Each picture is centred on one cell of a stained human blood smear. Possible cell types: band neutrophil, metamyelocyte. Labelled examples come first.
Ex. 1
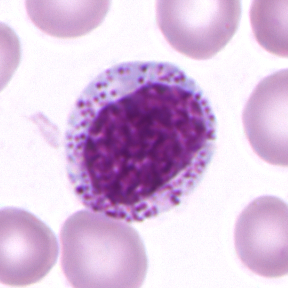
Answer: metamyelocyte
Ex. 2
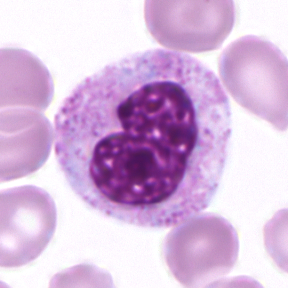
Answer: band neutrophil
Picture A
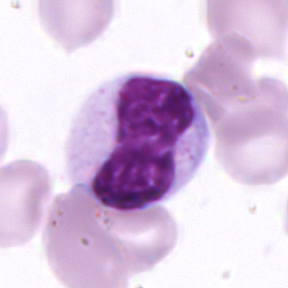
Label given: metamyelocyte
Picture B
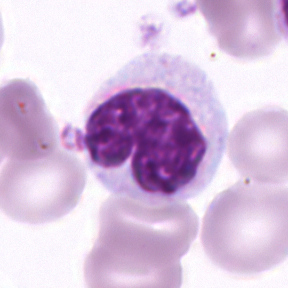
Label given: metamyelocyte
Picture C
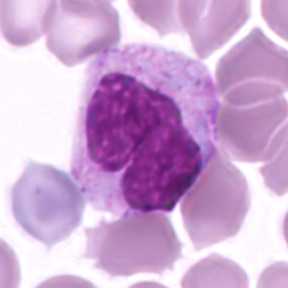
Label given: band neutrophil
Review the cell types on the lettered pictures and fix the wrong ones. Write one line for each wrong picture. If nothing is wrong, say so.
B should be band neutrophil, not metamyelocyte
